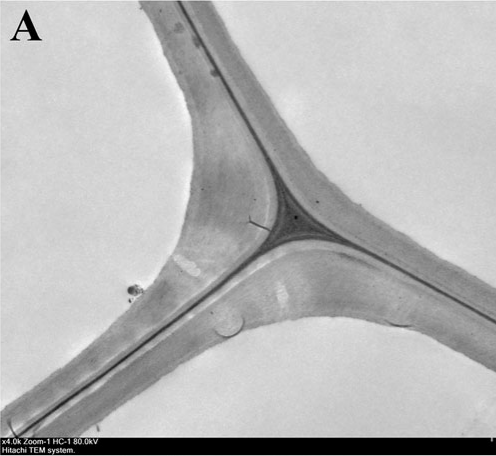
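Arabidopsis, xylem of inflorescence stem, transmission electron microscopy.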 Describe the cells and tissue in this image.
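The walls appear as broad grey bands, each made of the walls of two neighbouring cells lying side by side. A thin dark line runs down the middle of each band, marking the boundary between adjacent cells, and these lines converge in a dense dark cell corner. The walls show a faintly layered, finely fibrous texture, slightly darker toward the edge facing the lumen.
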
